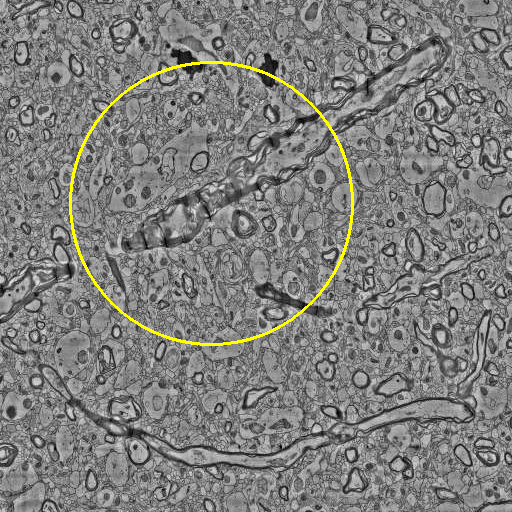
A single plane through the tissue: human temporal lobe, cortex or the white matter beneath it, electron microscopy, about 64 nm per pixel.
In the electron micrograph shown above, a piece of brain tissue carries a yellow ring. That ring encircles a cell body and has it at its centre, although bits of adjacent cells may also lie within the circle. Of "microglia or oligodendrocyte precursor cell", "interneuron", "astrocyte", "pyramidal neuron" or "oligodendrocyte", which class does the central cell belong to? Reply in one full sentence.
The cell body at the centre of the yellow ring belongs to an oligodendrocyte.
